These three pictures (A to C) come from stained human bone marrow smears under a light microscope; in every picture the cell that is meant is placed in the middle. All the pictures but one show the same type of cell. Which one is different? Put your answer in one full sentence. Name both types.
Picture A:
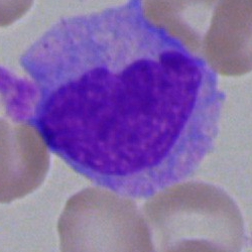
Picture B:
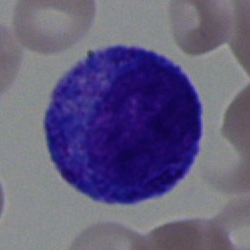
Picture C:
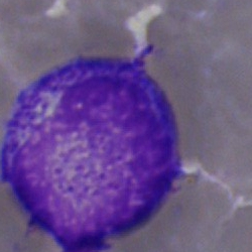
Picture A differs, because its cell is a monocyte and the rest are promyelocytes.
